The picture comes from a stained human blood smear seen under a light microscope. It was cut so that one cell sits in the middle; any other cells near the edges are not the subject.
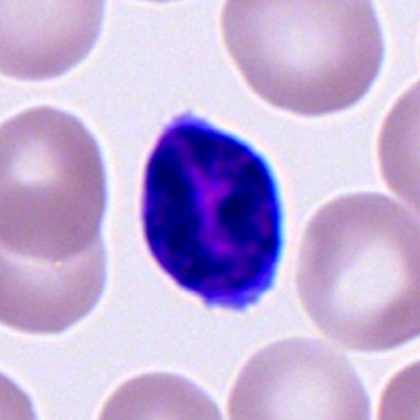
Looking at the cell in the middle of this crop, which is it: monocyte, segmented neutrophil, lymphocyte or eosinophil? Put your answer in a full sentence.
The cell in the exact centre of the crop is a lymphocyte.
